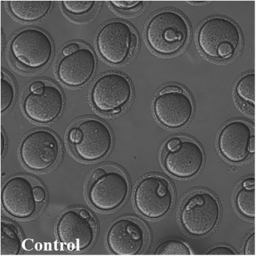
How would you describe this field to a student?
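Many large, round oocytes lie scattered across the field, each enclosed by a clear, even zona pellucida with a narrow perivitelline space. Their cytoplasm is finely granular and evenly textured. Many of them carry a single small, round polar body tucked beneath the zona at one side, much smaller than the oocyte itself.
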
